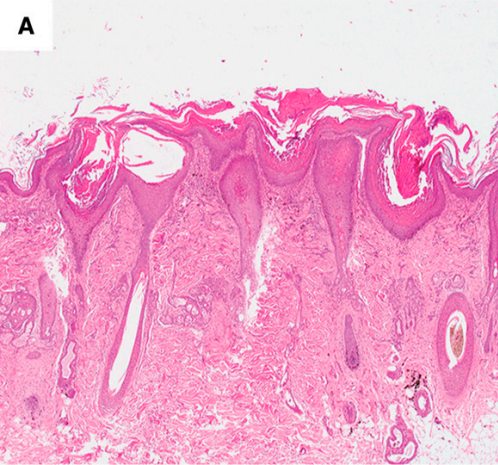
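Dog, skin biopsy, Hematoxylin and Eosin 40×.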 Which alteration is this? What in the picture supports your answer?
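The epithelium lining the follicle openings forms thick, deep, funnel-shaped downgrowths into the dermis. The surface epidermis is also thicker than a thin cell layer. That points to this answer: severely hyperplastic infundibular epithelium.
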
